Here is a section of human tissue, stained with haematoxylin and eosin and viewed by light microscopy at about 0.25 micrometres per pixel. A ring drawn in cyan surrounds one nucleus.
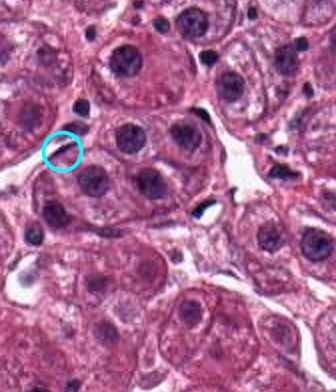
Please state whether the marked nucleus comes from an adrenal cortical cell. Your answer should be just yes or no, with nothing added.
no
